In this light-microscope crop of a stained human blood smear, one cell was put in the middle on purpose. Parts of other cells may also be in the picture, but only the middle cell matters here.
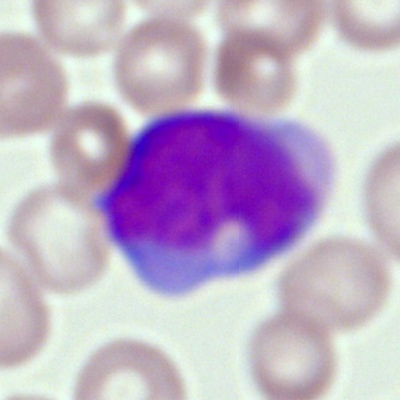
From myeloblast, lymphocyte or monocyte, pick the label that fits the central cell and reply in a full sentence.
The cell under consideration, at the middle of the crop, is a myeloblast.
